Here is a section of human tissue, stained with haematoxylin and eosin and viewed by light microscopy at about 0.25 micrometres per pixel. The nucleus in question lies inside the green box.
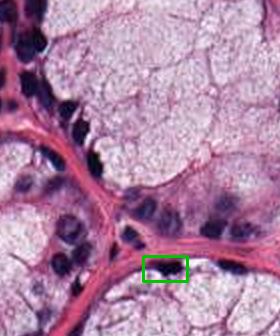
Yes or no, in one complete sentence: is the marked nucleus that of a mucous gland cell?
Yes, the marked nucleus is housed in a mucous gland cell.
